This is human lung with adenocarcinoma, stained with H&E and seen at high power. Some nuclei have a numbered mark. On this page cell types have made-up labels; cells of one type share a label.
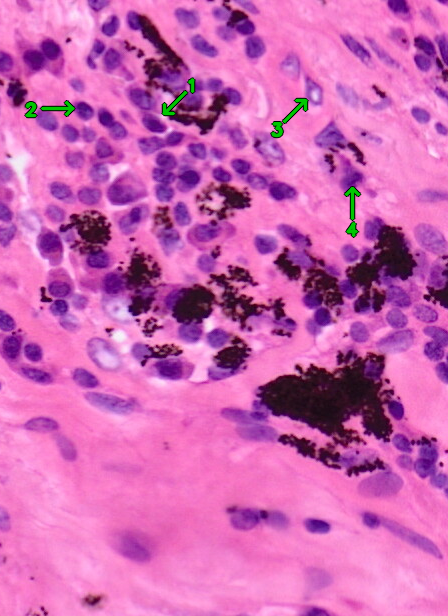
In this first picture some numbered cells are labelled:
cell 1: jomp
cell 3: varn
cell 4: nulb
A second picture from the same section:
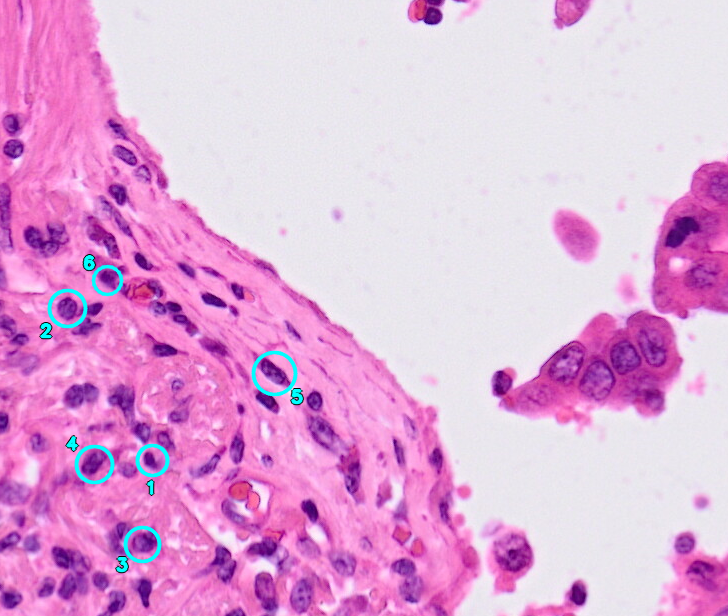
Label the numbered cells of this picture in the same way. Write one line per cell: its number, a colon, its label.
1: jomp
2: jomp
3: nulb
4: nulb
5: nulb
6: nulb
